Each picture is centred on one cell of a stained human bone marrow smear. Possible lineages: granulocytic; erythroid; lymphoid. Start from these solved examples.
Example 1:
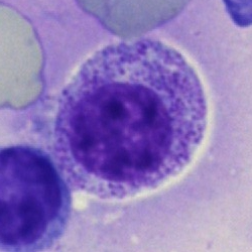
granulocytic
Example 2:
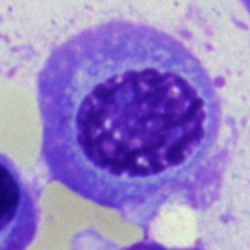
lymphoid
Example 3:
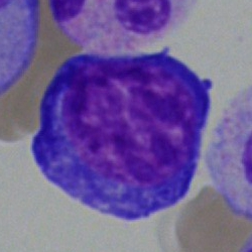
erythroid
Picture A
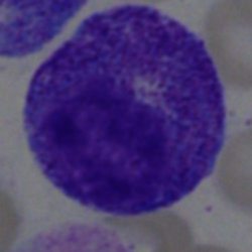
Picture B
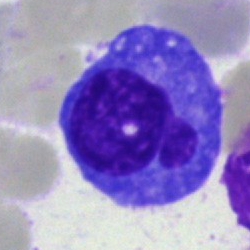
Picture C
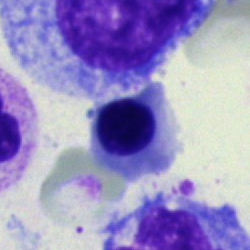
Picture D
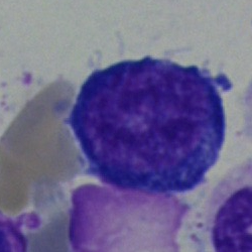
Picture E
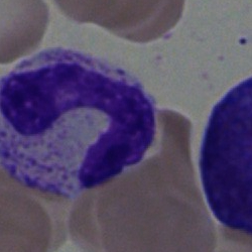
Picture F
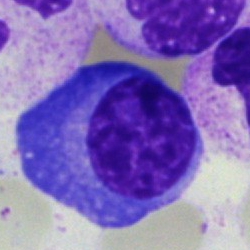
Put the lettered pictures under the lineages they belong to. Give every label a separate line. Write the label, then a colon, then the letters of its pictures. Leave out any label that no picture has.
granulocytic: A, E
erythroid: C, D
lymphoid: B, F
